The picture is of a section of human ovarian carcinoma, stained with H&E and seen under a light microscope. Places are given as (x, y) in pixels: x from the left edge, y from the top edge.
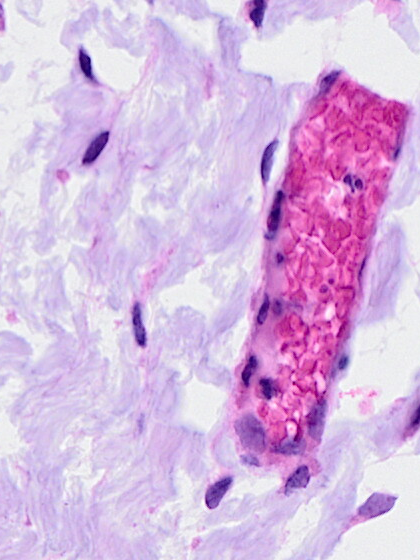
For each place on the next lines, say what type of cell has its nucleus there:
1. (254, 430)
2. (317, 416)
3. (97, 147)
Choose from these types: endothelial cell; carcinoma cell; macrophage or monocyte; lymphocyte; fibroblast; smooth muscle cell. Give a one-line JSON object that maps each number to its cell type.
{"1": "endothelial cell", "2": "endothelial cell", "3": "fibroblast"}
